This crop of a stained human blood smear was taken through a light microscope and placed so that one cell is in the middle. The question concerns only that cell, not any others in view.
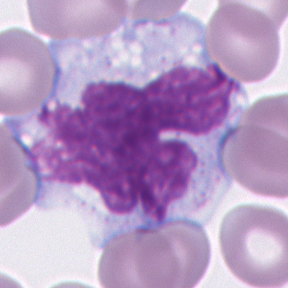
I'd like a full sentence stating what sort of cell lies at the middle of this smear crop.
The cell occupying the middle of the crop is a monocyte.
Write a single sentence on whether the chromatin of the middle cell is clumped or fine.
The key point is fine chromatin with no coarse clumps.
